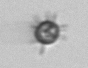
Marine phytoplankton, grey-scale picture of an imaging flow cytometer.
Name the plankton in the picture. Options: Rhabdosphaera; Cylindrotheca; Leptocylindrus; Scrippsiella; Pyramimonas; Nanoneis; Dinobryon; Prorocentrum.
Rhabdosphaera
